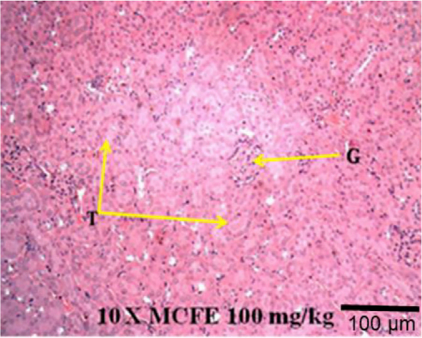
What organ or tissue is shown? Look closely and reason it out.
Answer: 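Kidney. Many pink epithelial tubule cross-sections fill the field. Small rounded clusters of dense nuclei lie among the tubules.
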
